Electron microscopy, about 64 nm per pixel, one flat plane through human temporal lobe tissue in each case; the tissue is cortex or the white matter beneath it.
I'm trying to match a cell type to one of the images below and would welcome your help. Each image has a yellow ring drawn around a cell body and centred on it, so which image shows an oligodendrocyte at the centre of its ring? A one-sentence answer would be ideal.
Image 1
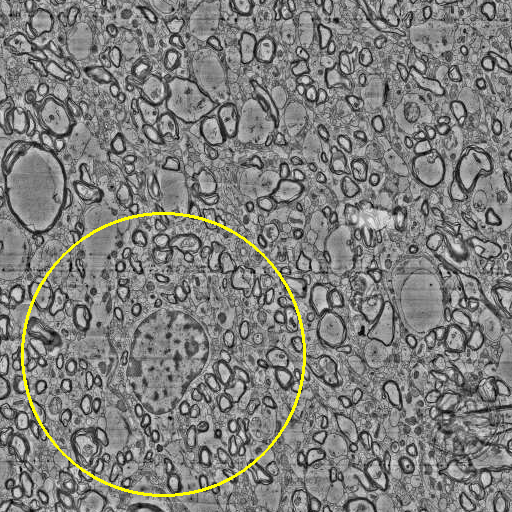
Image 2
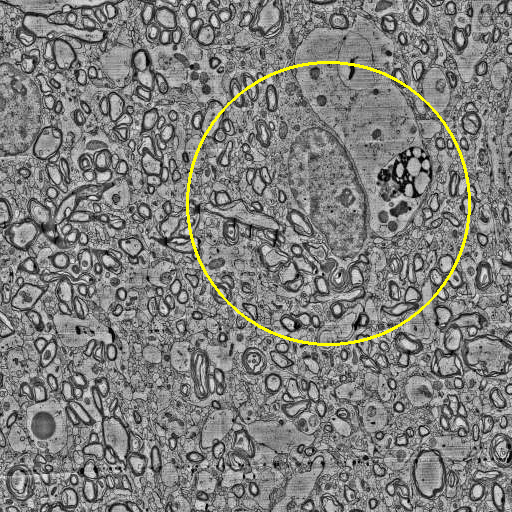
Image 2 shows it at the centre of the ring.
